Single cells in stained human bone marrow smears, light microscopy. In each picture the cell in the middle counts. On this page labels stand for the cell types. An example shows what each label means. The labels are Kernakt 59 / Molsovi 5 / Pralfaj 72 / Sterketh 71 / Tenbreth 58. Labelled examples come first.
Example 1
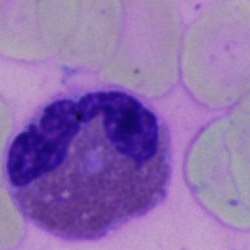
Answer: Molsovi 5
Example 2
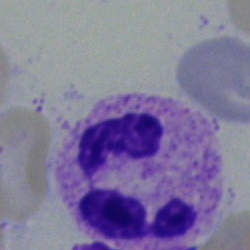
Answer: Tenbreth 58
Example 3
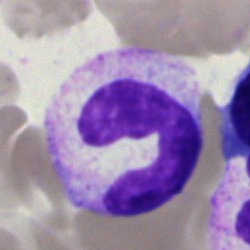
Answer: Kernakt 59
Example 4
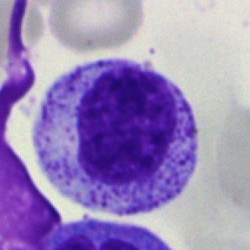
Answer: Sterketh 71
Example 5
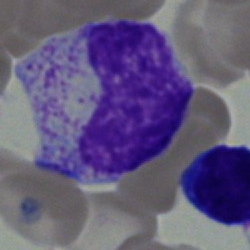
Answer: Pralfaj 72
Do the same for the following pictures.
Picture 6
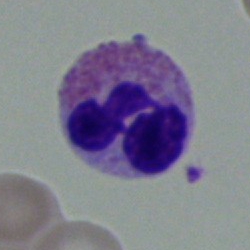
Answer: Molsovi 5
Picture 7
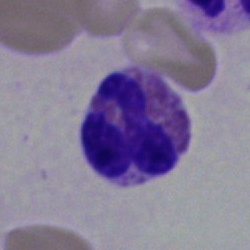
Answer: Molsovi 5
